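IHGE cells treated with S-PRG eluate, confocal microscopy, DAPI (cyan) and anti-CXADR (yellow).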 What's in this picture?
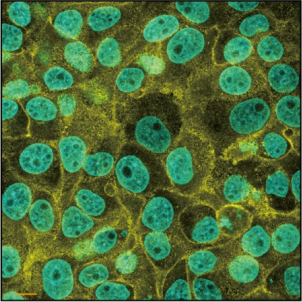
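A confluent sheet of cultured gingival epithelial cells is seen with closely packed oval nuclei, stained cyan. Many nuclei show distinct dark nucleoli and fine chromatin texture, and a few nuclei appear brighter or smaller than their neighbours. The yellow signal lines the cell borders as continuous thin lines, outlining polygonal cells. It also fills the cytoplasm as a granular haze with scattered bright dots. Some areas show small bright yellow patches at the cell periphery.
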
